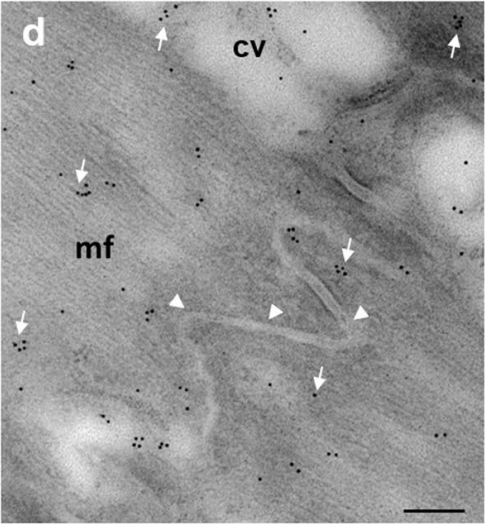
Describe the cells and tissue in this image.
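Electron micrograph of cardiac muscle cell cytoplasm at the junction between two cells. Fine parallel myofibrils with faint striations fill much of the field, and pale, rounded cytoplasmic vesicles lie in the upper part. A folded, zigzag intercalated disc with paired membranes and dense bordering material runs obliquely through the centre. Small round black gold particles are scattered over the myofibrils and near the vesicles, singly and in small clusters, while the intercalated disc membranes themselves carry few or none.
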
